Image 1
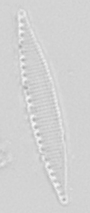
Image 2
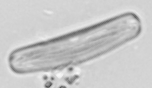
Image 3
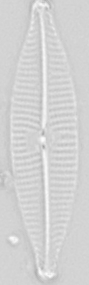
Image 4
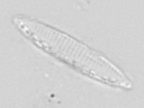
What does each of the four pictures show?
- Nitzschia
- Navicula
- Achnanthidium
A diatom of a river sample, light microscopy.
1: Nitzschia
2: Achnanthidium
3: Navicula
4: Nitzschia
